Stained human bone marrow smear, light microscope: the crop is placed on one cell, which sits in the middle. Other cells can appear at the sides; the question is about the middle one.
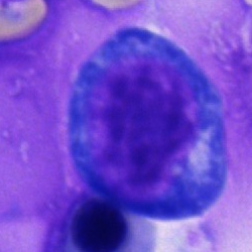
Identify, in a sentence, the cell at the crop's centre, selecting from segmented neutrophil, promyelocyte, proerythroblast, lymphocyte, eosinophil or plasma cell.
The cell in the exact centre of the crop is a proerythroblast.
